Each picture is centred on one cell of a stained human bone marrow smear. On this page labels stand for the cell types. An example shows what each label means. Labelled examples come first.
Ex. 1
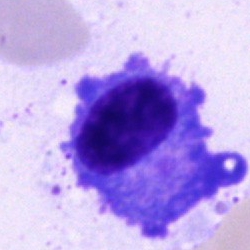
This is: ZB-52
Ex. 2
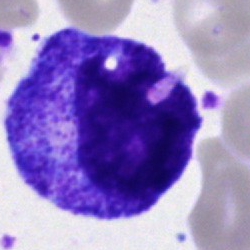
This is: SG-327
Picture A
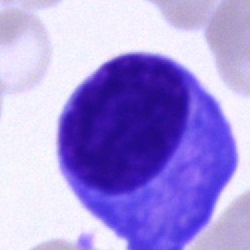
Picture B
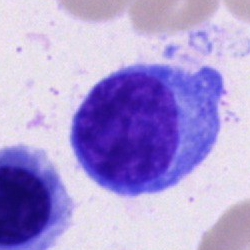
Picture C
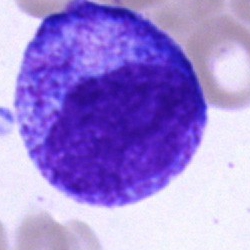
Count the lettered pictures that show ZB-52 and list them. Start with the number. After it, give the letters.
2, namely A, B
